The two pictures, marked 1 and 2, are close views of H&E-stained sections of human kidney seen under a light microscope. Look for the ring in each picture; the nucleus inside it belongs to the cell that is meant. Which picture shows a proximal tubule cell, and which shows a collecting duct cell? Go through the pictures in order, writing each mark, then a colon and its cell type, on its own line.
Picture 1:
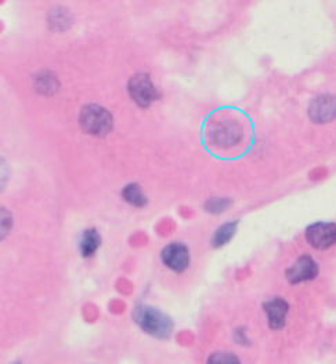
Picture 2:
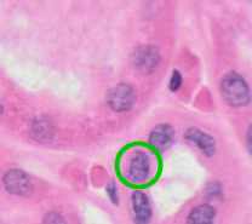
1: proximal tubule cell
2: collecting duct cell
